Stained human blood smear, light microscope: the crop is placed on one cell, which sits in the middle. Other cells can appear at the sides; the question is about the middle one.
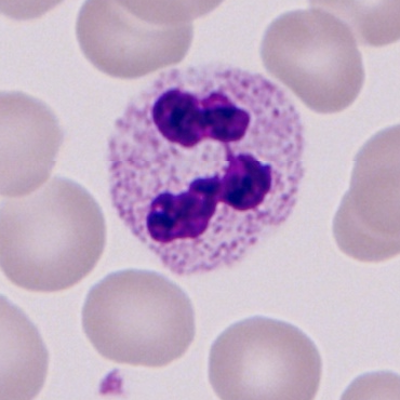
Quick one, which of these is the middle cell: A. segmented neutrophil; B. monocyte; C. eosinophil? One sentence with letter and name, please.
The cell centred in the crop is a segmented neutrophil, and the correct option is thus A.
